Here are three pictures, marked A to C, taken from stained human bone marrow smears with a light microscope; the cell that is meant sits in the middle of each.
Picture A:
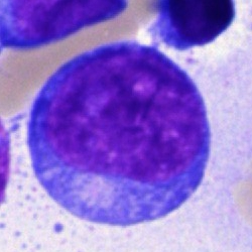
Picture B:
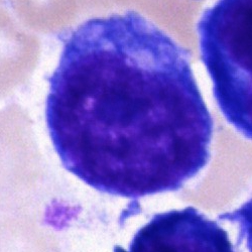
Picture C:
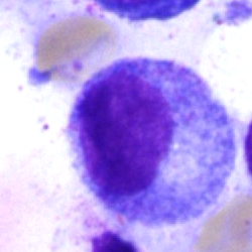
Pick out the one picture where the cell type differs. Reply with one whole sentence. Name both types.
All pictures except C show blasts; picture C shows a promyelocyte.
